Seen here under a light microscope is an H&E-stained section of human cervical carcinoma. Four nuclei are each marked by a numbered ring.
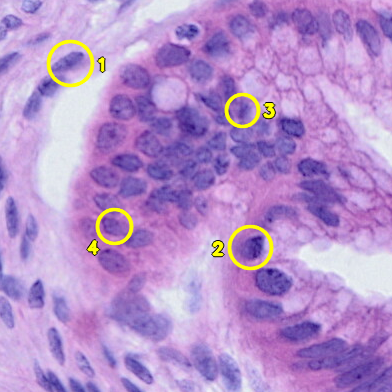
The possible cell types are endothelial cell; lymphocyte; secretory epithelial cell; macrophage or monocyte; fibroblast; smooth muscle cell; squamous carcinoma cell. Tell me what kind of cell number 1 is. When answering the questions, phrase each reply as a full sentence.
The nucleus labelled 1 belongs to a fibroblast.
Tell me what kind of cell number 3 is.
The correct label for cell 3 is a secretory epithelial cell.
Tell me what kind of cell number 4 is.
Cell 4 of the marked set is a secretory epithelial cell.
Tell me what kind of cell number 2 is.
The cell bearing label 2 corresponds to a secretory epithelial cell.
